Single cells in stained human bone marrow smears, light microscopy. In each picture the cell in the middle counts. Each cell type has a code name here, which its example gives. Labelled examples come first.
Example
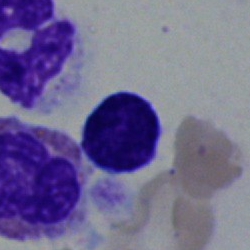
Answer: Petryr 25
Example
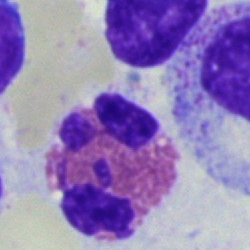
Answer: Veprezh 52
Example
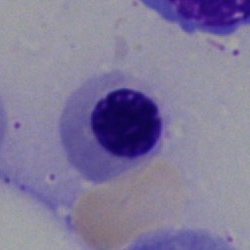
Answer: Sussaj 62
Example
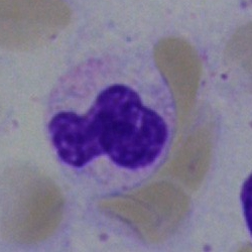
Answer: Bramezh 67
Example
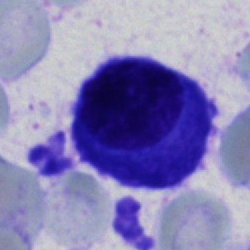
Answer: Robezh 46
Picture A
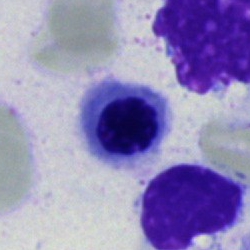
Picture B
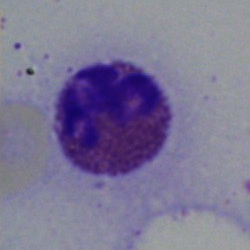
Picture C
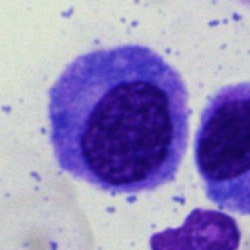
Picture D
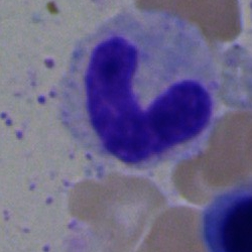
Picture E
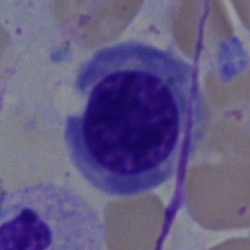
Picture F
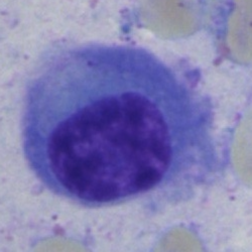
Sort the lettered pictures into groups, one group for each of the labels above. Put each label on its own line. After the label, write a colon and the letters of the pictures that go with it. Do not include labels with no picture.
Veprezh 52: B
Sussaj 62: A, E
Bramezh 67: D
Robezh 46: C, F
